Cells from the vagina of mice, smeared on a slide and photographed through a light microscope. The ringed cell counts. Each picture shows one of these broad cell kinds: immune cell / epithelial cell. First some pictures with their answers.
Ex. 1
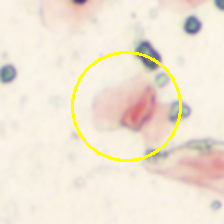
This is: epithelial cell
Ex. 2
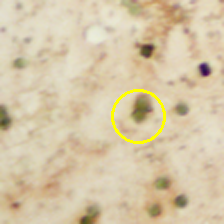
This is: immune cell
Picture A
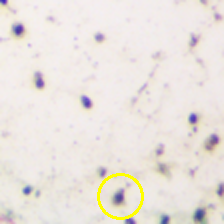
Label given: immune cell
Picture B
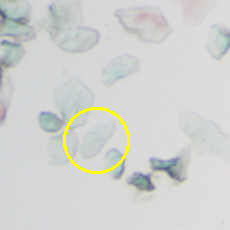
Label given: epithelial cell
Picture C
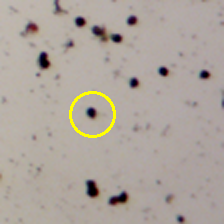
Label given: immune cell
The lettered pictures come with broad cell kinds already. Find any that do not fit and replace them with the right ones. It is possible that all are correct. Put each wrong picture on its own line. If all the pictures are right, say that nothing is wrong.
All correct.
